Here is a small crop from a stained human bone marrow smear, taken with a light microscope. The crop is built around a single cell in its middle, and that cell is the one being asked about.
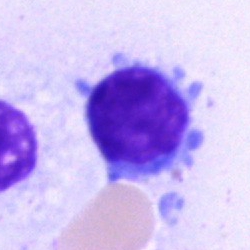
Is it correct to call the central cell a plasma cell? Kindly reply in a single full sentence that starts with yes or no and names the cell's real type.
No, that guess of a plasma cell misses; the central cell is a lymphocyte.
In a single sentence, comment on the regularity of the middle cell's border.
Along the periphery, ragged stretches or projections make the outline irregular.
